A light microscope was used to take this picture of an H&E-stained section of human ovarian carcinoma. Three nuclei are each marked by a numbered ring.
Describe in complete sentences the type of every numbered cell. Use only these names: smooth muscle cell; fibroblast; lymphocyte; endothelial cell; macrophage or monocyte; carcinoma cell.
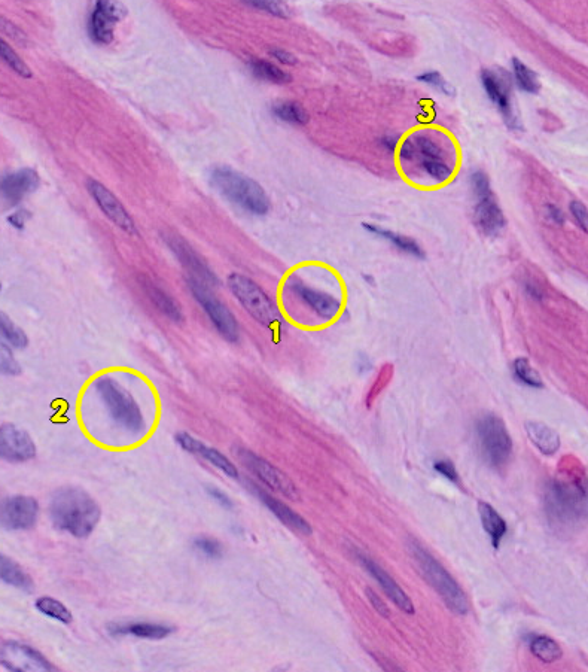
Cell 1 is a smooth muscle cell, cell 2 is a fibroblast and cell 3 is a smooth muscle cell.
